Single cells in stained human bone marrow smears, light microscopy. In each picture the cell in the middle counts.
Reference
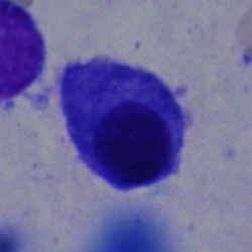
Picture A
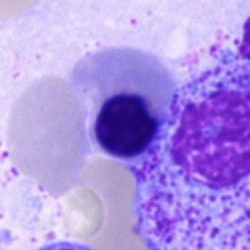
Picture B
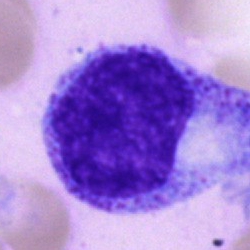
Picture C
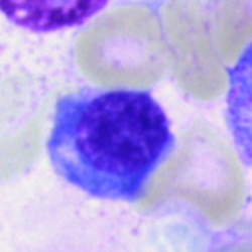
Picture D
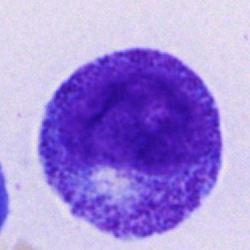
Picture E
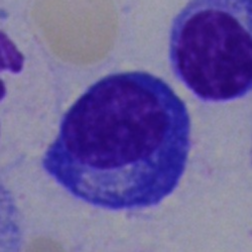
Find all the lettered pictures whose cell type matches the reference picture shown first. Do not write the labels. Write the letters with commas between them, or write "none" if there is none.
E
